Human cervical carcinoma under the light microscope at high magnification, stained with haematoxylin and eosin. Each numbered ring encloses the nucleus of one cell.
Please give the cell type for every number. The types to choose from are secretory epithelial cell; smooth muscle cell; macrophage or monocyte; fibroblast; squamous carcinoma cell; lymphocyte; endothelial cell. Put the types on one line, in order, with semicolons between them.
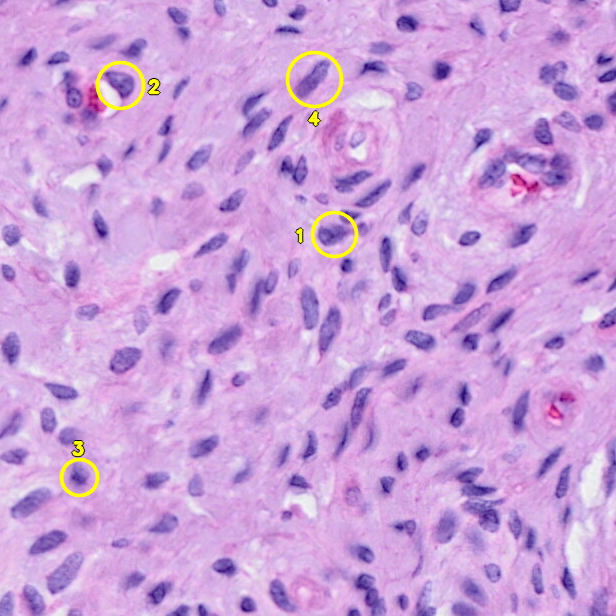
fibroblast; endothelial cell; fibroblast; fibroblast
